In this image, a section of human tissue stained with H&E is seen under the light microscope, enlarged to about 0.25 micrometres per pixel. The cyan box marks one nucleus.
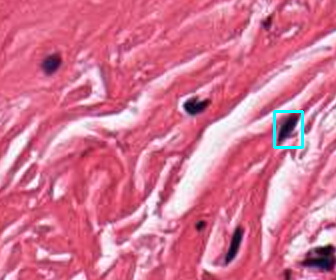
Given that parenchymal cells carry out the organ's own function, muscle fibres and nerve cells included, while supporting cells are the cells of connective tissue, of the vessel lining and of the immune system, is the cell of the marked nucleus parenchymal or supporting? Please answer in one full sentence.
As for the marked nucleus, it belongs to a supporting cell.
